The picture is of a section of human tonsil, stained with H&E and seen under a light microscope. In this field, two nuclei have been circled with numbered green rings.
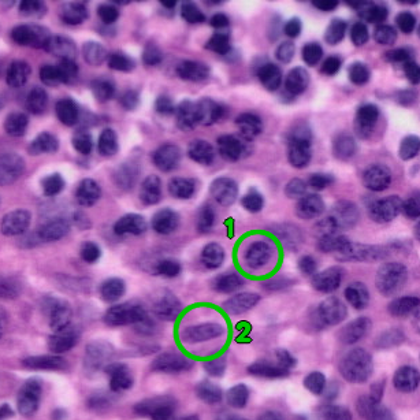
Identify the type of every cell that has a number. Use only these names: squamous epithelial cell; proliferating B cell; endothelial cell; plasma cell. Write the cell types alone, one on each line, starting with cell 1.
plasma cell
squamous epithelial cell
